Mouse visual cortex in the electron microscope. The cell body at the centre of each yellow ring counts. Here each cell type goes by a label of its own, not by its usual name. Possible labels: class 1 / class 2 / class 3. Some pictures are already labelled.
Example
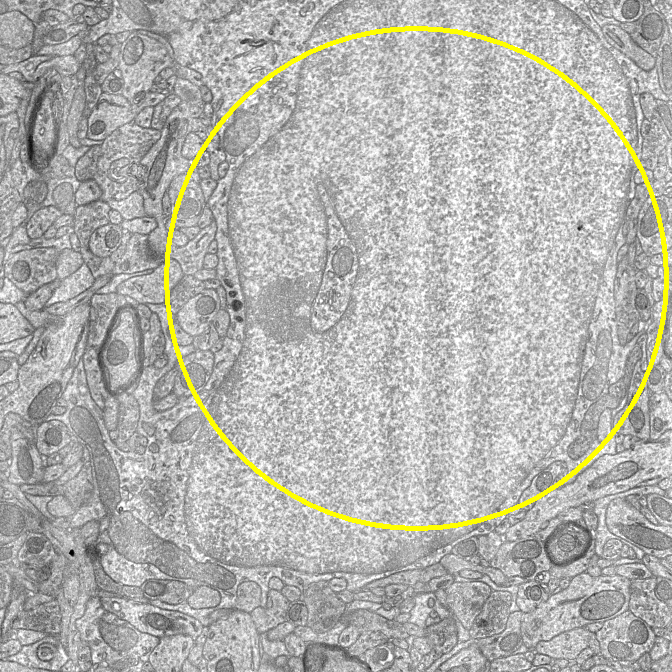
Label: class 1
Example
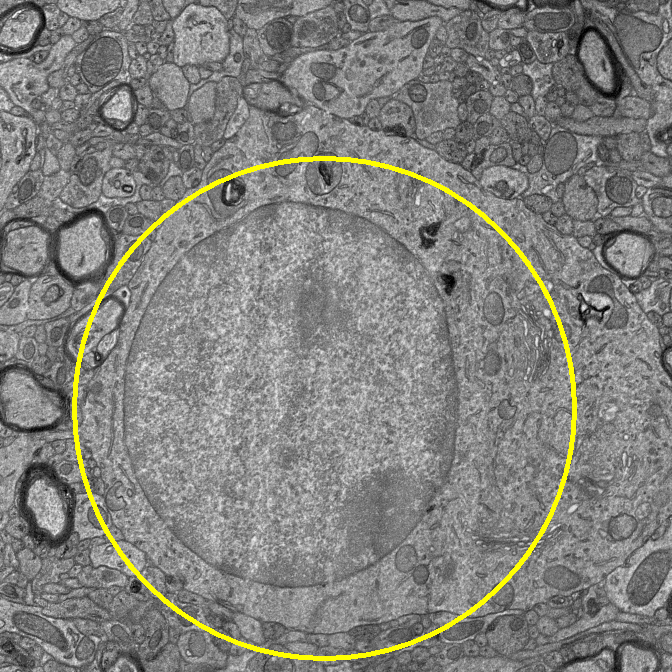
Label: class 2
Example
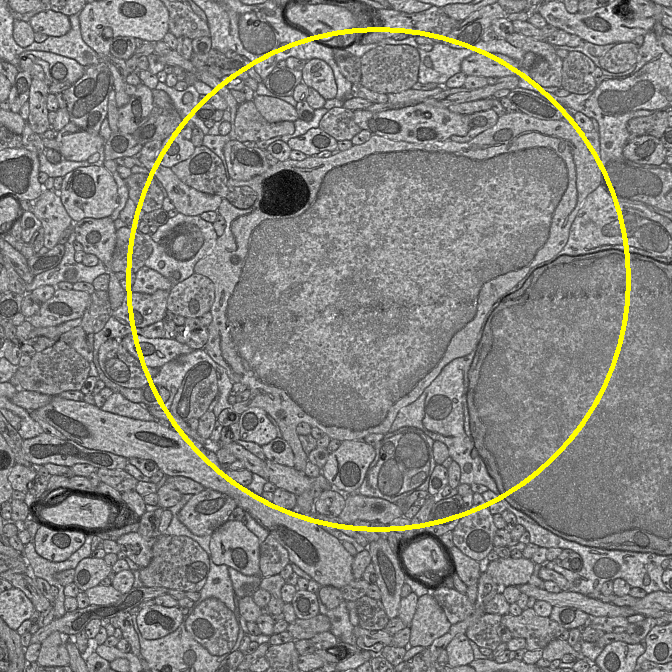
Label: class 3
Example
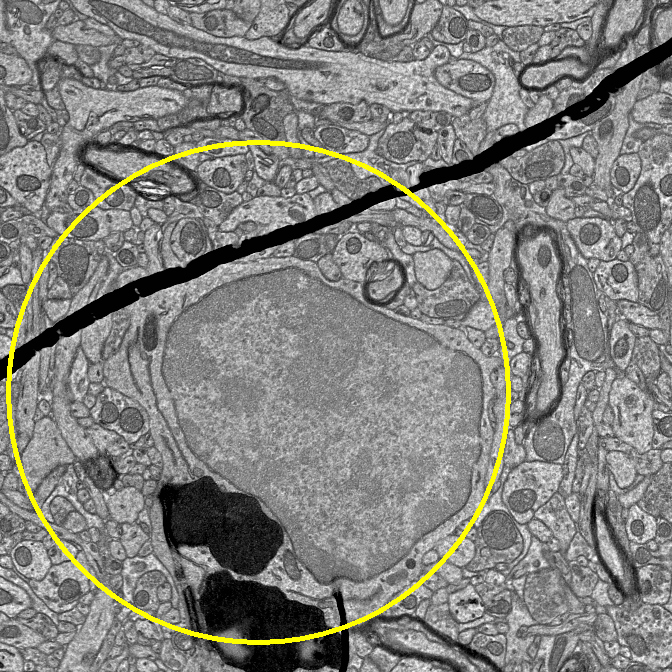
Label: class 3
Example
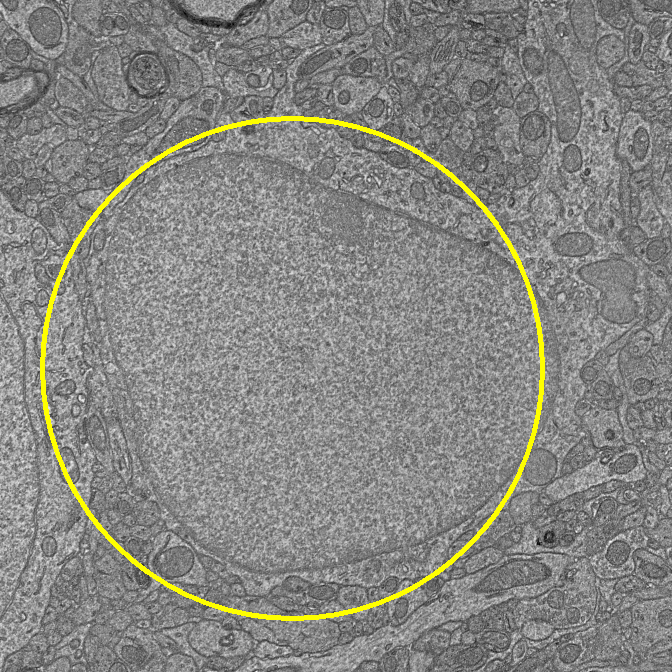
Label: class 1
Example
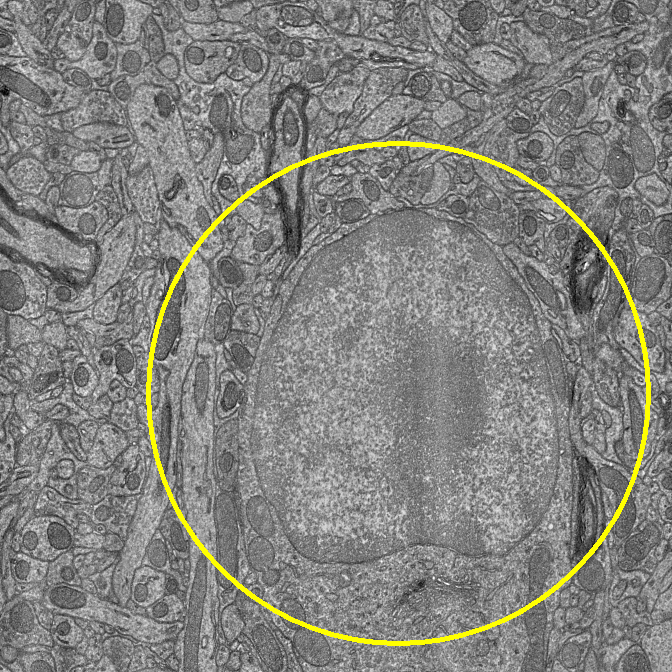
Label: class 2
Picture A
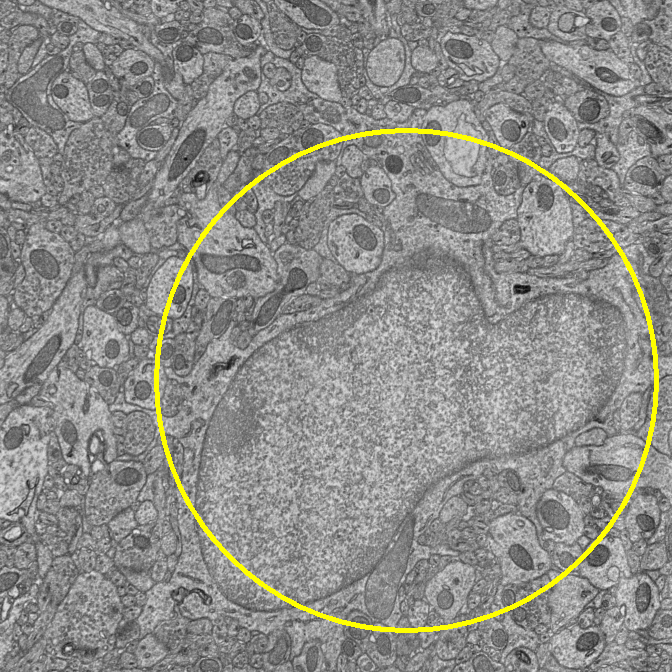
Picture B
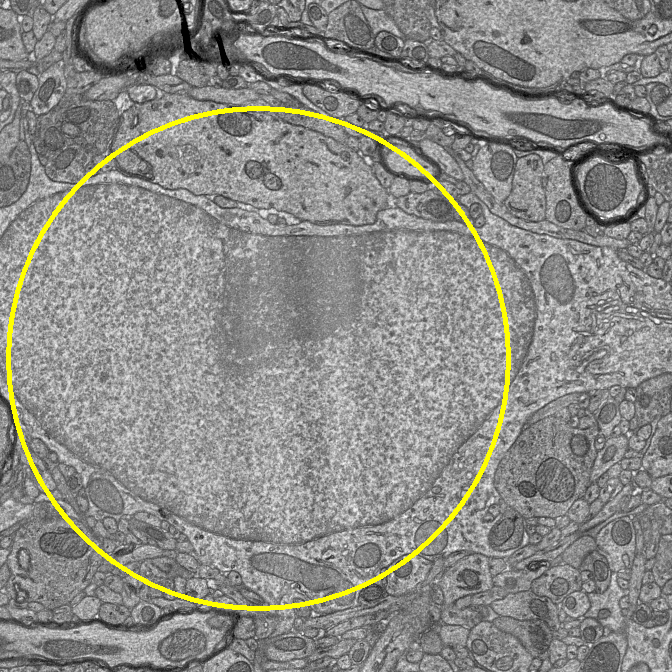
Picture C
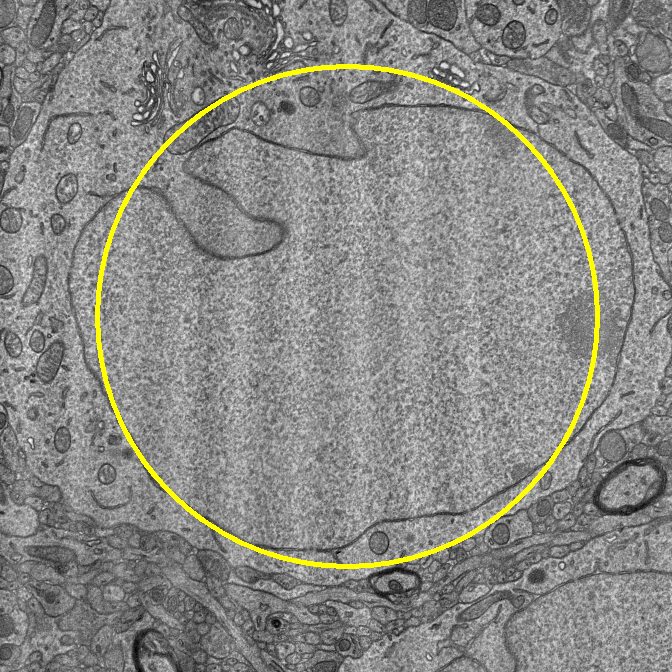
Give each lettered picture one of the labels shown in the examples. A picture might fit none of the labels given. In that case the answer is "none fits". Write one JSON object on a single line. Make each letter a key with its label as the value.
{"A": "class 1", "B": "class 1", "C": "none fits"}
